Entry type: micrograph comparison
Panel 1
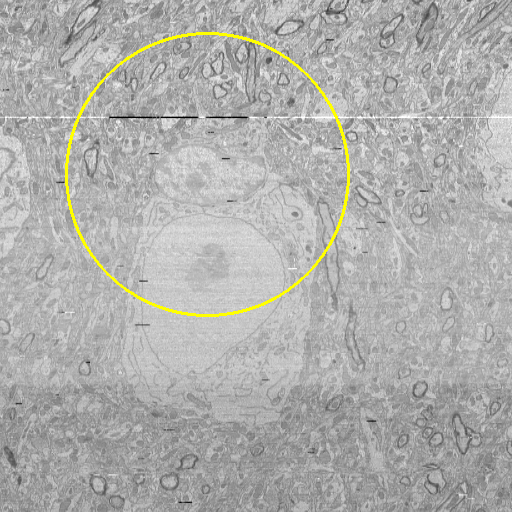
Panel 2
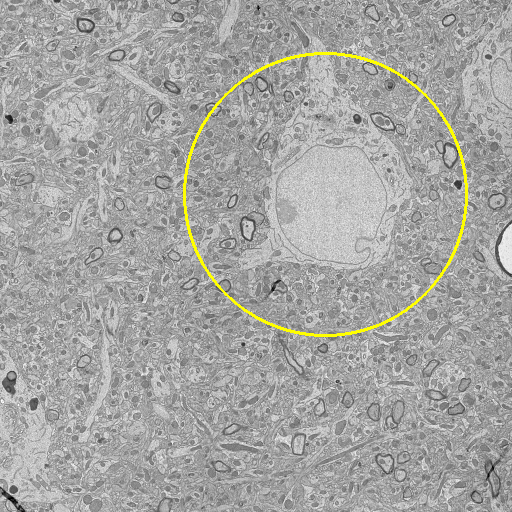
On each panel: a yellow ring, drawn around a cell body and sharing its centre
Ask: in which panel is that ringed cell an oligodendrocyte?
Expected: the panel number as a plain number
1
